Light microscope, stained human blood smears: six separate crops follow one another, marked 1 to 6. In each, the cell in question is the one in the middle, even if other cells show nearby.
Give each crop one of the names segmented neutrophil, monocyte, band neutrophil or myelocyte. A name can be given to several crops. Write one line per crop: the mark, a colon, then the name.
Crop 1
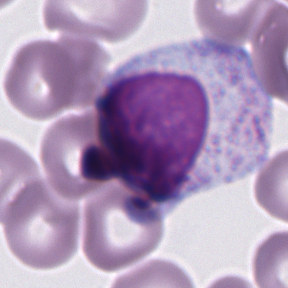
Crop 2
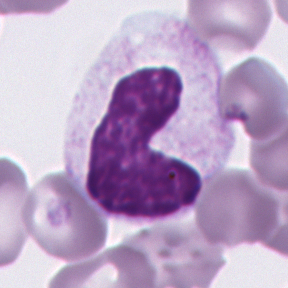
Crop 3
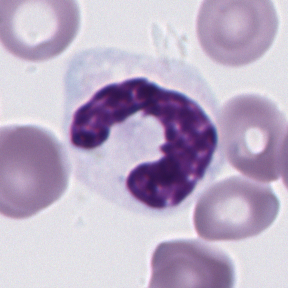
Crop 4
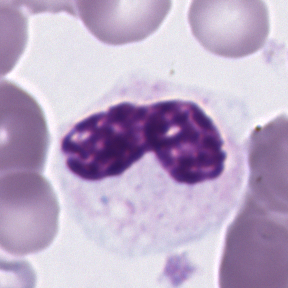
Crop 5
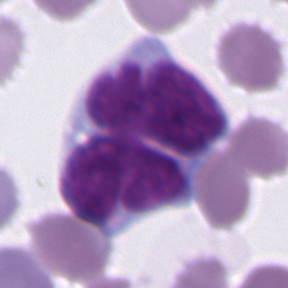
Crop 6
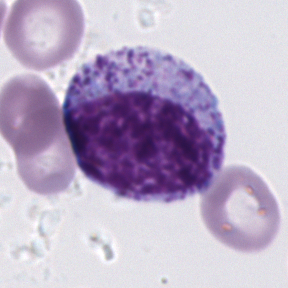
1: myelocyte
2: band neutrophil
3: band neutrophil
4: band neutrophil
5: monocyte
6: myelocyte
